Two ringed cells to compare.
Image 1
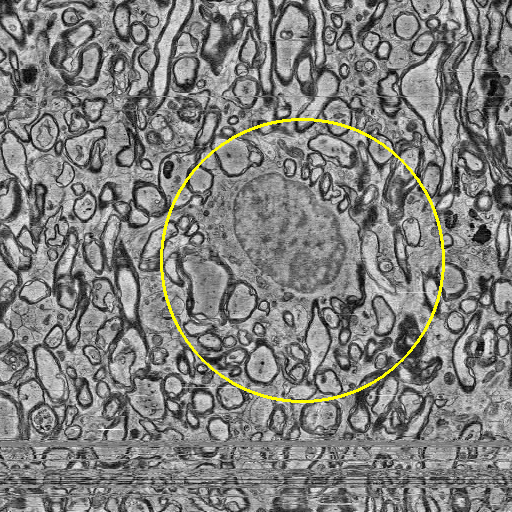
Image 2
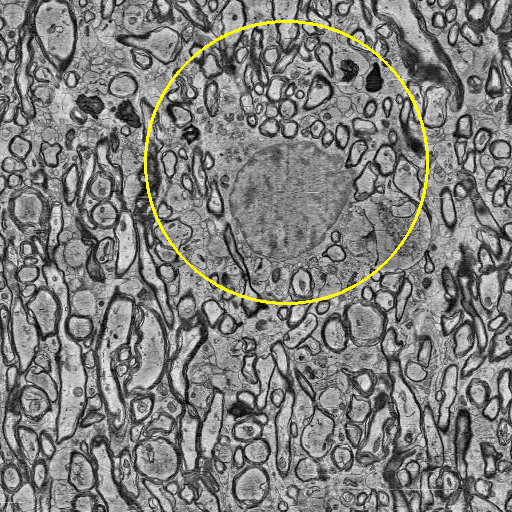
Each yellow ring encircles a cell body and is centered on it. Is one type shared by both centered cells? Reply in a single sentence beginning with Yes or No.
Yes, a single type is shared by the two cells at the centers of the rings.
